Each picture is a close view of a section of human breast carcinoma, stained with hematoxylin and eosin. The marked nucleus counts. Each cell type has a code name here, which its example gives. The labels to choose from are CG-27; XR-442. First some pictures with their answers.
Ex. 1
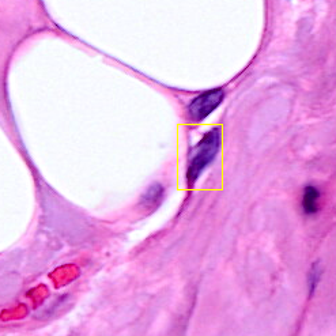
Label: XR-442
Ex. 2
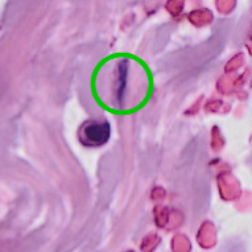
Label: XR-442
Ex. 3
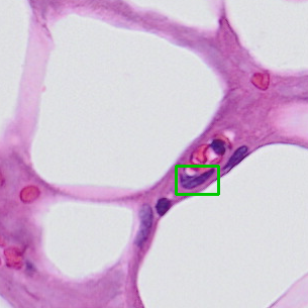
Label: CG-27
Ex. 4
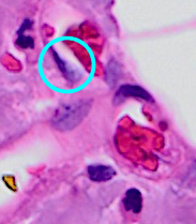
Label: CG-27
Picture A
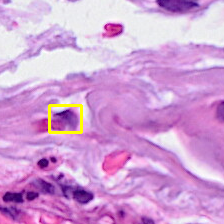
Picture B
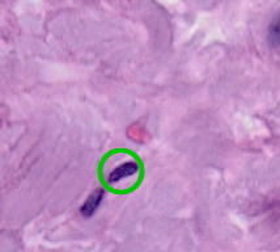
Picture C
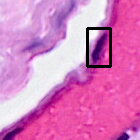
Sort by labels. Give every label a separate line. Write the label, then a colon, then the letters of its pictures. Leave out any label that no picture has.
CG-27: C
XR-442: A, B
